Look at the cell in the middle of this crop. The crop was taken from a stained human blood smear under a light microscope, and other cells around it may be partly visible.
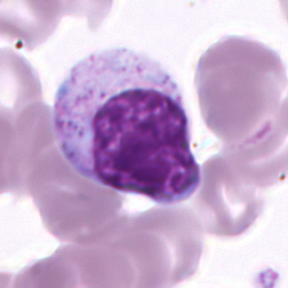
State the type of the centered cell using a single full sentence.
Where the crop is centred, there is a metamyelocyte.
